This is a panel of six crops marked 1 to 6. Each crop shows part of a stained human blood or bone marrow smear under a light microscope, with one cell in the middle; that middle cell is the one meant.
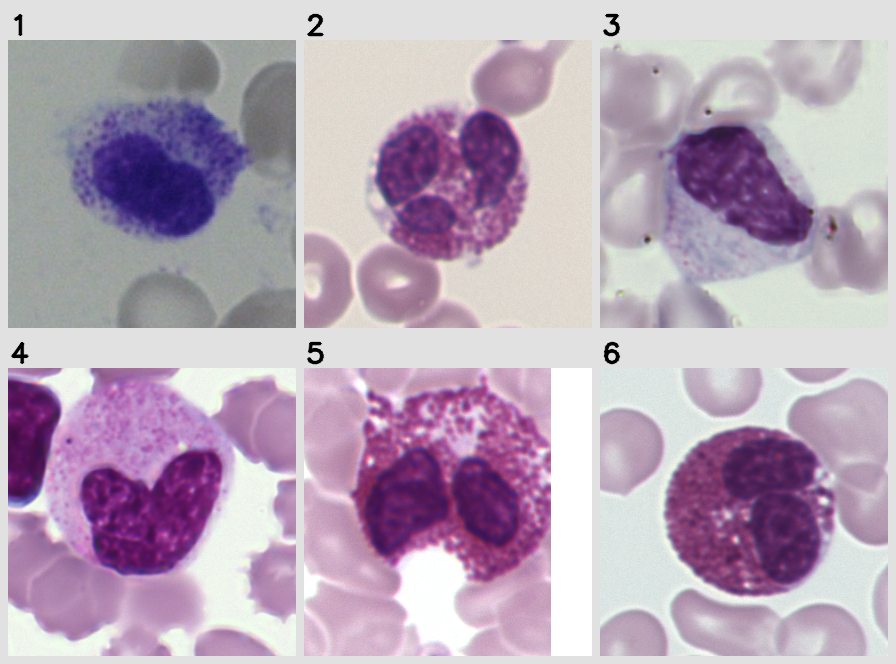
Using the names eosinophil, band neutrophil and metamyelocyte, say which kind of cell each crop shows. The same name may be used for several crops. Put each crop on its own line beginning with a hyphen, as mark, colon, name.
- 1: metamyelocyte
- 2: eosinophil
- 3: metamyelocyte
- 4: band neutrophil
- 5: eosinophil
- 6: eosinophil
